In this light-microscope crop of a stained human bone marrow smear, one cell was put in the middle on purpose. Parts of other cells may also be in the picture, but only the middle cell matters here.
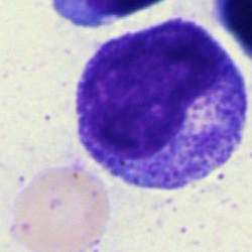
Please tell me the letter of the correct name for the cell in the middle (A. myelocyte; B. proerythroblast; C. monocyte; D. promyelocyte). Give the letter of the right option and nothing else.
D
